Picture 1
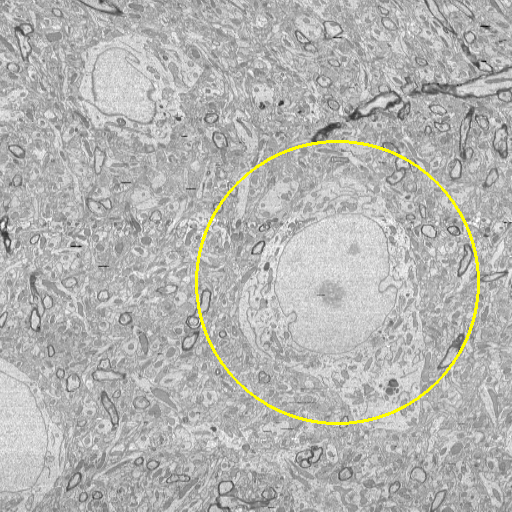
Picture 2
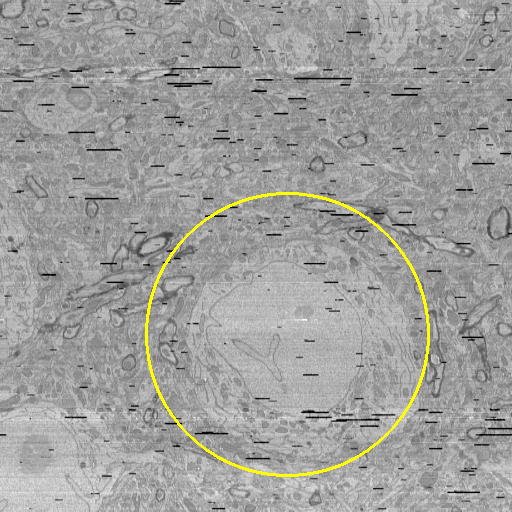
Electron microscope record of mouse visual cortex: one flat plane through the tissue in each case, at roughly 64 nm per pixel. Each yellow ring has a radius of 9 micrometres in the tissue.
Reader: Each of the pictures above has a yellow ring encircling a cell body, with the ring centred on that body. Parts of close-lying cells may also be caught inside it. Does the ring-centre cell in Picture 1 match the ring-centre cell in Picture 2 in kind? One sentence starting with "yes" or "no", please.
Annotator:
No, Picture 1 and Picture 2 show ring-centre cells of two kinds.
